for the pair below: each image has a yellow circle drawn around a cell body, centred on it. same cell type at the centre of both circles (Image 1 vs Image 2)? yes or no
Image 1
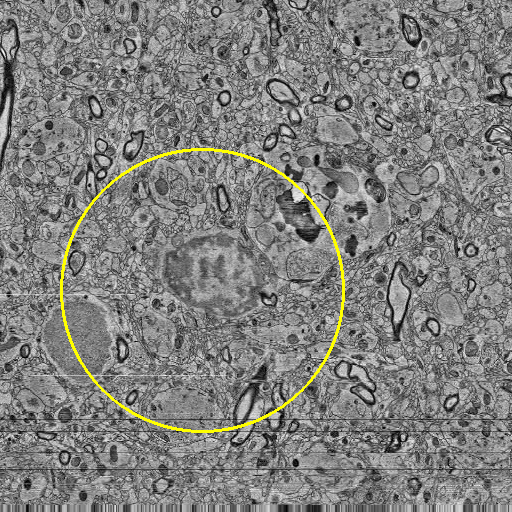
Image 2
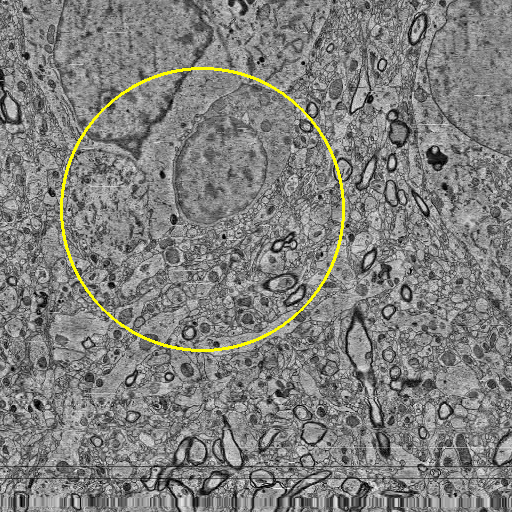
yes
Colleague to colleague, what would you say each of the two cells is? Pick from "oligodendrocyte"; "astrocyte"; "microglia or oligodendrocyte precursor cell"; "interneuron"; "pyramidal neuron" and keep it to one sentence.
Each of the ringed cells, first and second, is an oligodendrocyte.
